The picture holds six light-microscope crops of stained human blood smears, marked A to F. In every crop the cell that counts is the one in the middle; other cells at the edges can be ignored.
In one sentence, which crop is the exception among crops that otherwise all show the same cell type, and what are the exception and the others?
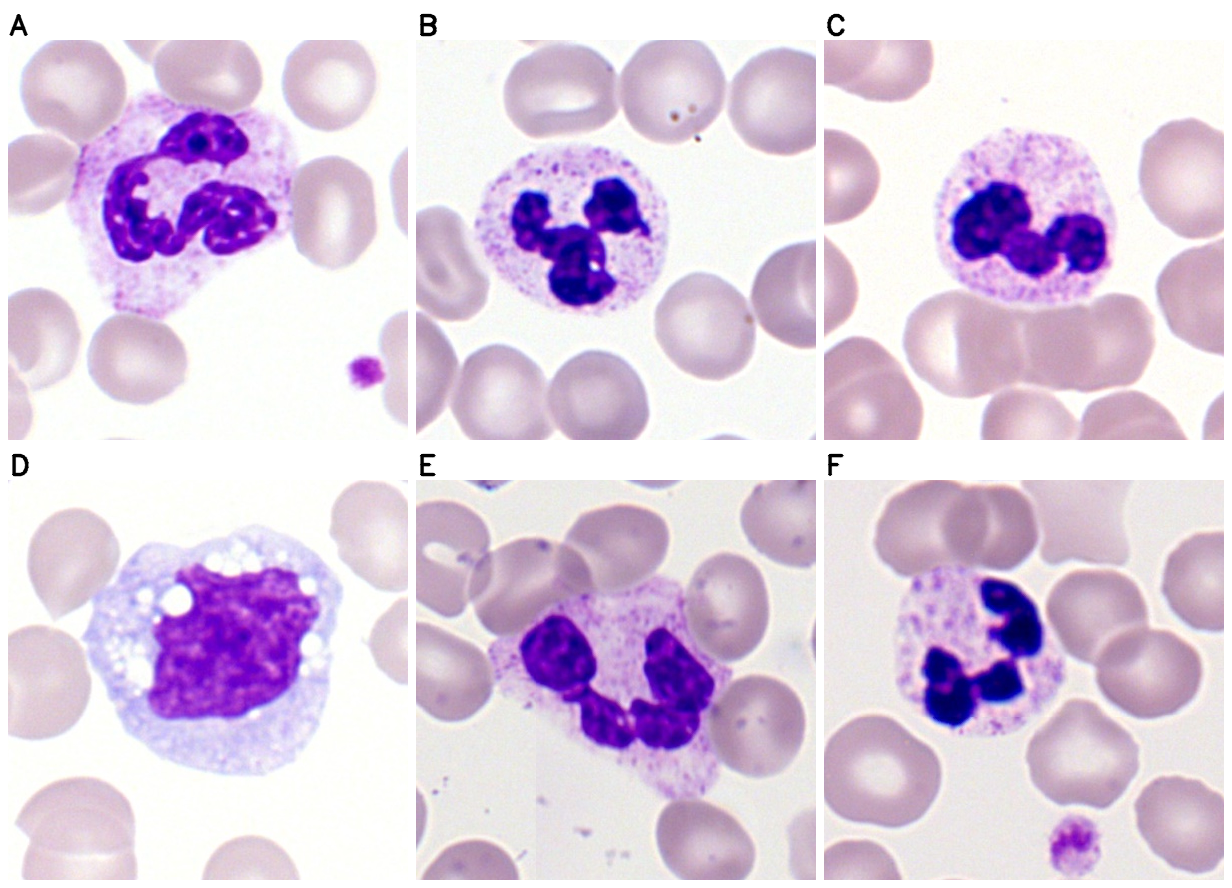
Crop D is the one that is a monocyte, and the other crops all show segmented neutrophils.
